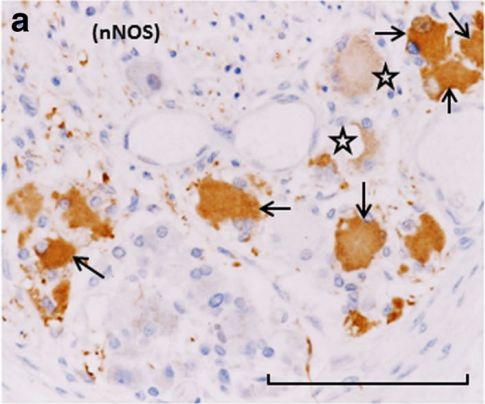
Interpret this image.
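This is an autonomic ganglion in which several large, polygonal ganglion cells have cytoplasm filled with brown stain, while other large cell bodies nearby stay pale. Small blue nuclei of surrounding cells are scattered between the neurons, and a few clear round spaces lie within the ganglion. Scattered brown granules between the cells represent stained fibers.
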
